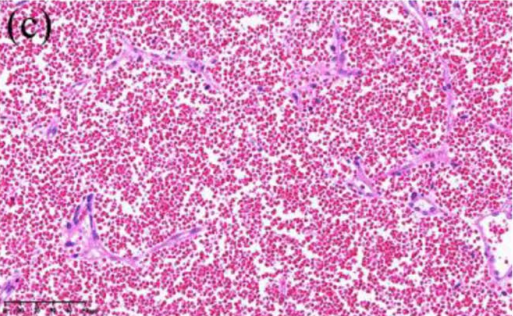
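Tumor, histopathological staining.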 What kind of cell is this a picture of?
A: Red blood cells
